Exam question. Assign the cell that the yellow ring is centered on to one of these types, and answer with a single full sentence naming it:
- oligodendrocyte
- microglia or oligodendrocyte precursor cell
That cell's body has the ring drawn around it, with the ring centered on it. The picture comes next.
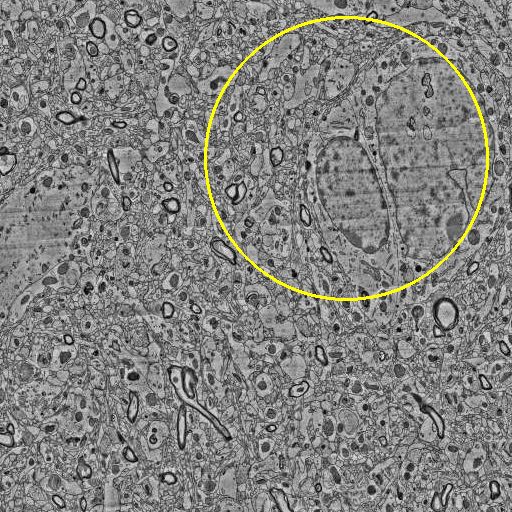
In the micrograph, the cell the yellow ring is centered on is a microglial cell or oligodendrocyte precursor cell.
